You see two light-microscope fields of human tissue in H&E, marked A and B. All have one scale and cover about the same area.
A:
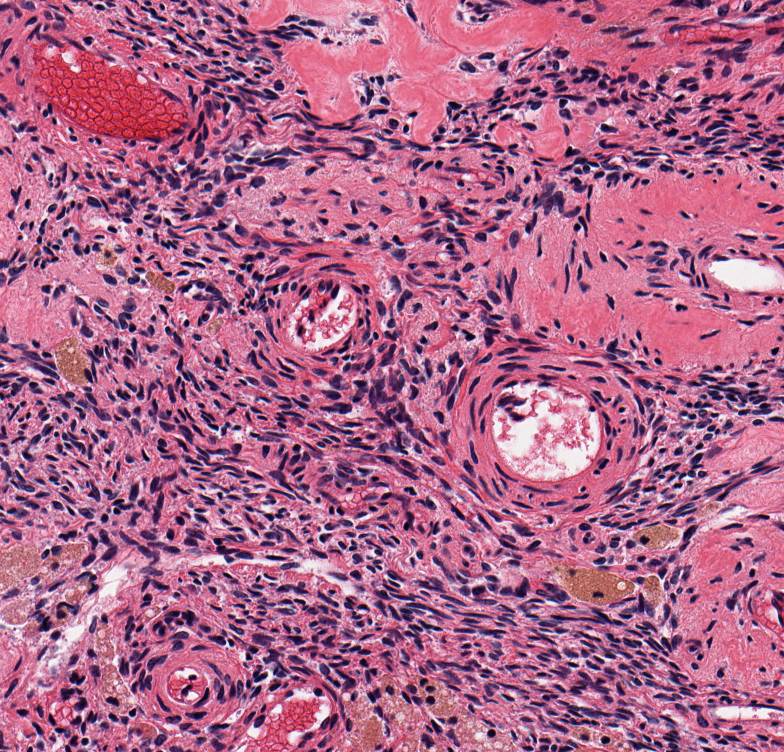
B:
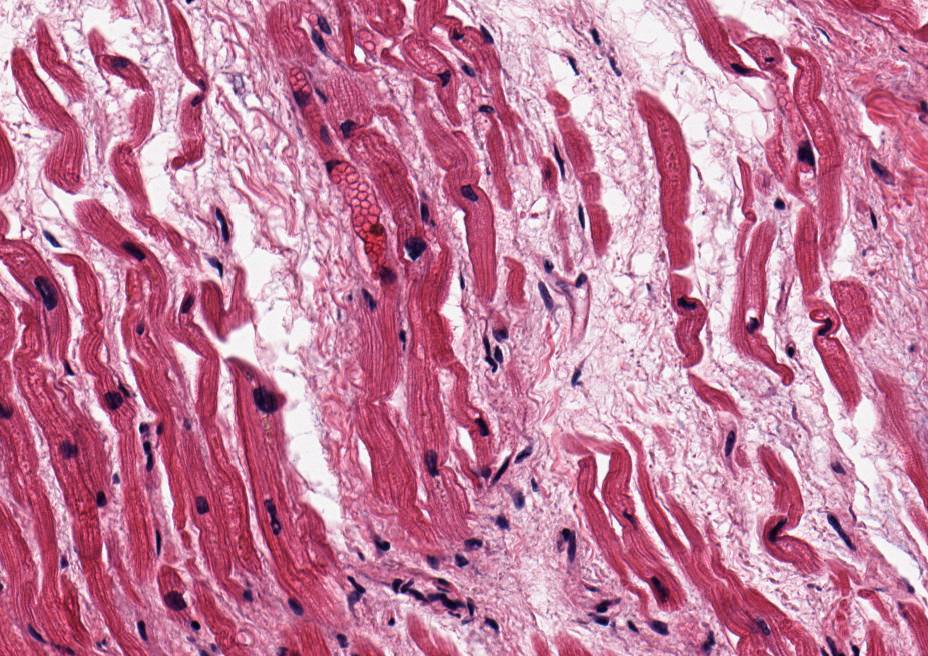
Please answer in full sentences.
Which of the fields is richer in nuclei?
More nuclei lie in field A than in field B.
